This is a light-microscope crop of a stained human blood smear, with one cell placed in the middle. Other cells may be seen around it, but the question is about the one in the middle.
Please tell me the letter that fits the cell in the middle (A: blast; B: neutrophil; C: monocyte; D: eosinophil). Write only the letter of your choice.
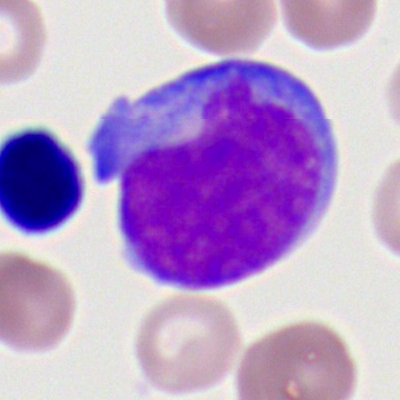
A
